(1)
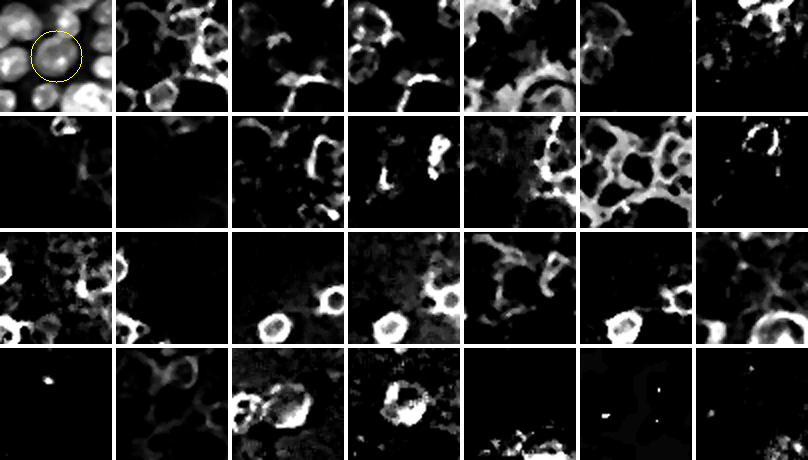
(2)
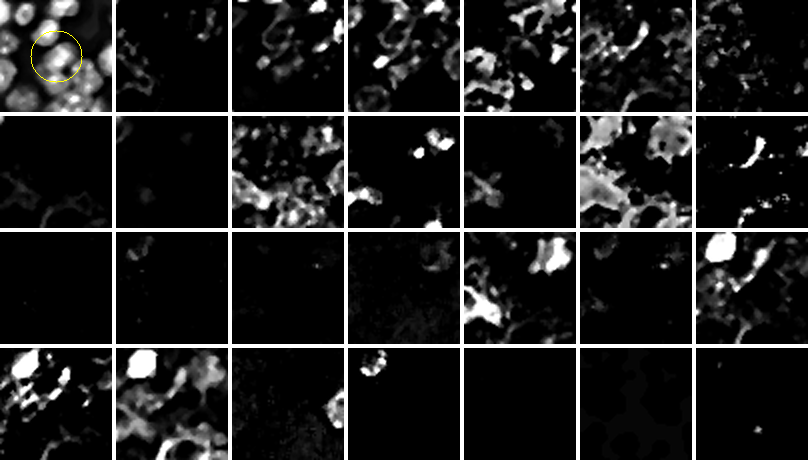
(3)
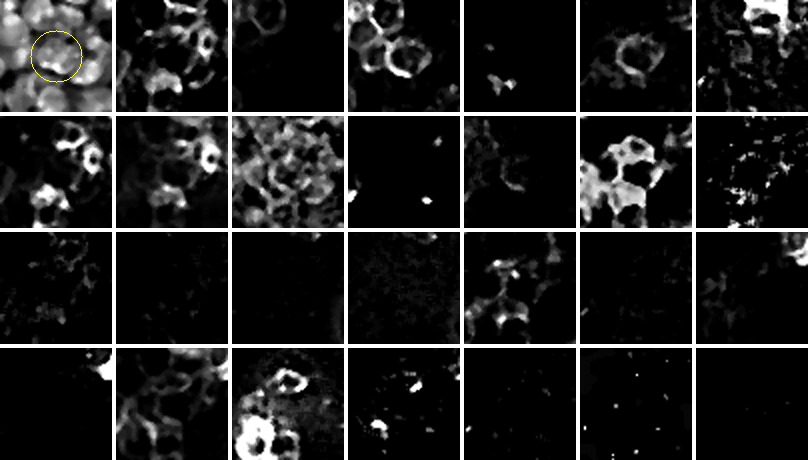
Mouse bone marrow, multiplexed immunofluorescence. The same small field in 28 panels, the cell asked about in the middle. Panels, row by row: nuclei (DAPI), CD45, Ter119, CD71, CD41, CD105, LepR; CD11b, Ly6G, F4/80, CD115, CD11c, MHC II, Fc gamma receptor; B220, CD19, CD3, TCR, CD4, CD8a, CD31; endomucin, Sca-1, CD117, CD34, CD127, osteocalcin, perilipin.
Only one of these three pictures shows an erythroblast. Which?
Picture 2.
